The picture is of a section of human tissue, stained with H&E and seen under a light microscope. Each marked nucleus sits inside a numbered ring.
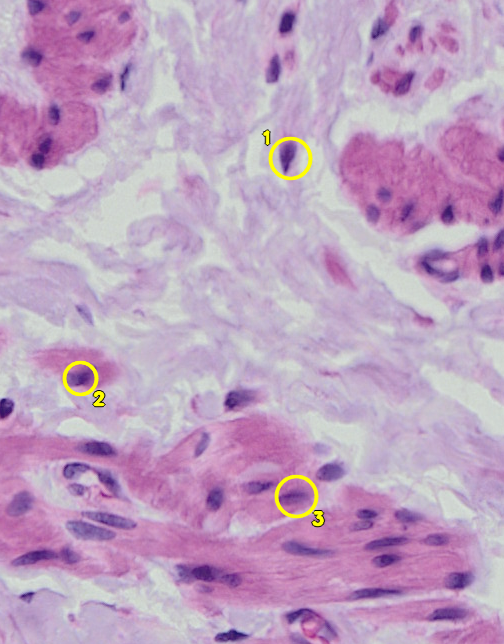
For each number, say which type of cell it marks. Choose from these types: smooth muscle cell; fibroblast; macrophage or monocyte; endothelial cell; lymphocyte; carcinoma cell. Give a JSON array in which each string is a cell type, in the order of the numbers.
["fibroblast", "smooth muscle cell", "smooth muscle cell"]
